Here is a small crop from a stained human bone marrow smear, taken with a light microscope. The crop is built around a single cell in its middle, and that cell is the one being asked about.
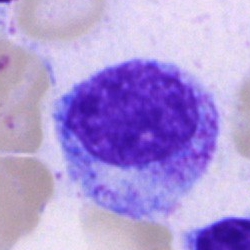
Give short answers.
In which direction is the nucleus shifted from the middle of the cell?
top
